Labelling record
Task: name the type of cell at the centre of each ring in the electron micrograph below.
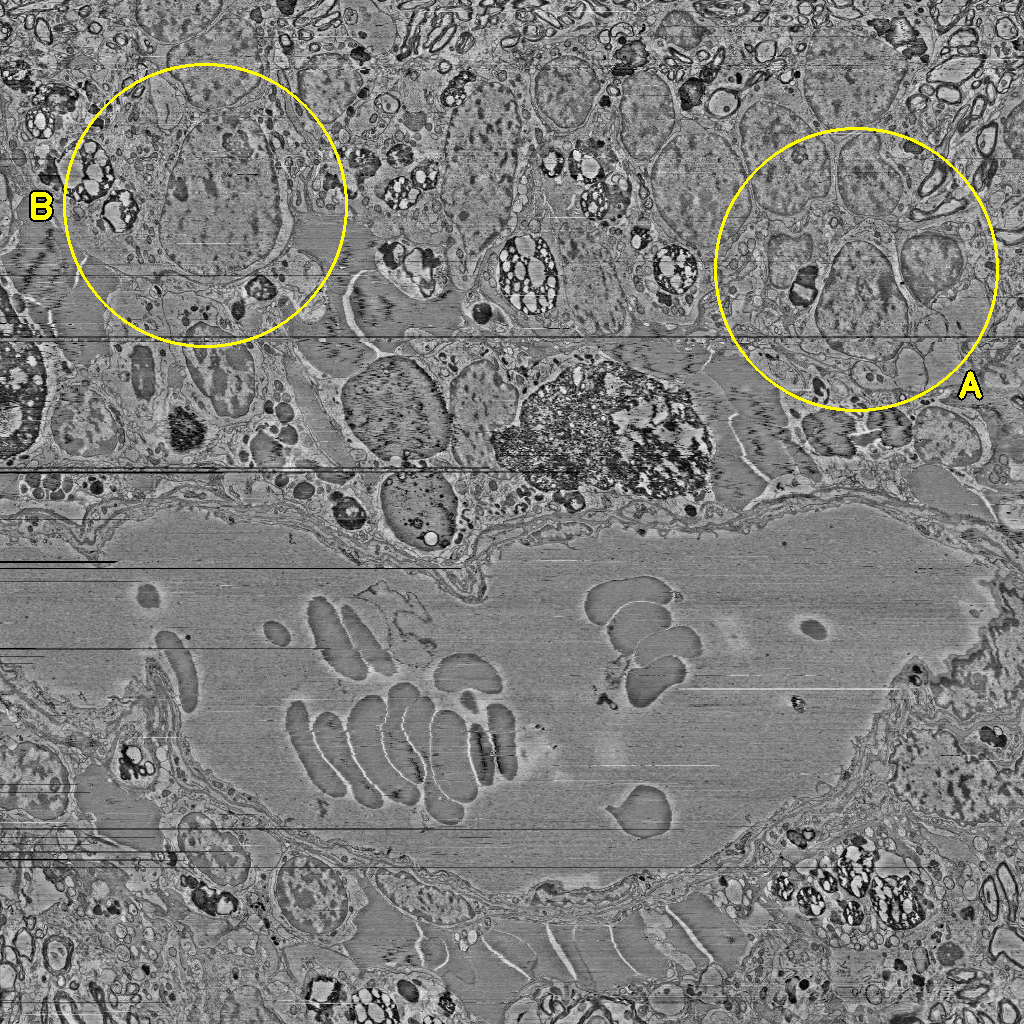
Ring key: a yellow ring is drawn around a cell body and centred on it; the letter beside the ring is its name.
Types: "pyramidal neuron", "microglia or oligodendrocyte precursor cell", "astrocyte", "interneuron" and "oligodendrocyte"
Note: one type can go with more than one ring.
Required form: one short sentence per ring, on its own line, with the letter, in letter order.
In ring A, the centred cell is a microglial cell or oligodendrocyte precursor cell.
In ring B, the centred cell is an astrocyte.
